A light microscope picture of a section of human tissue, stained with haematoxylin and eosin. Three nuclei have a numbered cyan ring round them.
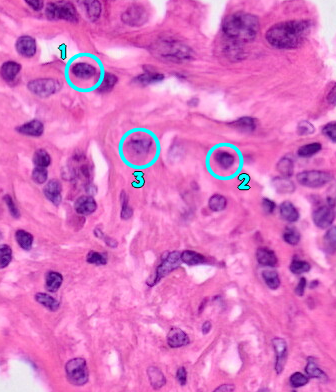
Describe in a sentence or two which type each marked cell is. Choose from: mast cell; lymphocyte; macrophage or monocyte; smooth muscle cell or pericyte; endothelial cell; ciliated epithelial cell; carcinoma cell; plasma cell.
Cell 1 is a lymphocyte, cell 2 is a lymphocyte and cell 3 is a macrophage or monocyte.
